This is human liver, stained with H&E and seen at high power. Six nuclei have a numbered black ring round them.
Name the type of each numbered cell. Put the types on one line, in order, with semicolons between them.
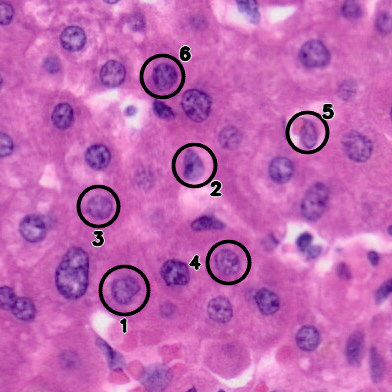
hepatocyte; endothelial cell; hepatocyte; hepatocyte; Kupffer cell; hepatocyte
